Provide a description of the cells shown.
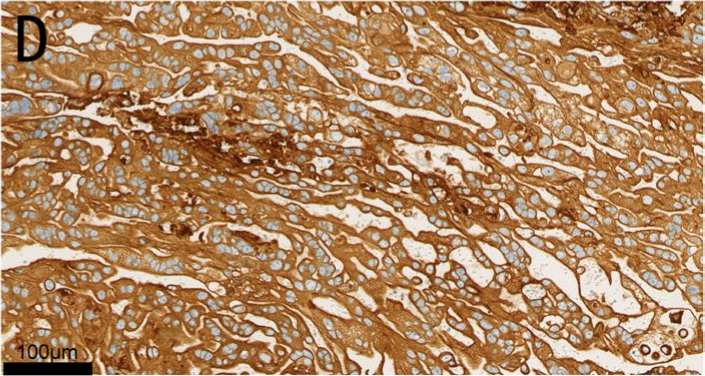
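Tumor cells arranged in elongated cords and clusters separated by clefts have cytoplasm strongly stained brown, while their oval nuclei stay pale blue. The staining is diffuse across nearly all the tumor cells.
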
